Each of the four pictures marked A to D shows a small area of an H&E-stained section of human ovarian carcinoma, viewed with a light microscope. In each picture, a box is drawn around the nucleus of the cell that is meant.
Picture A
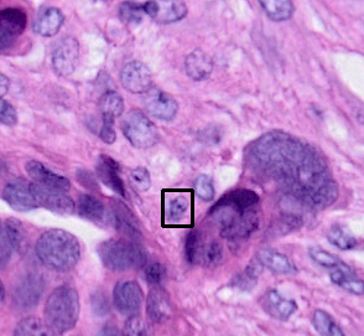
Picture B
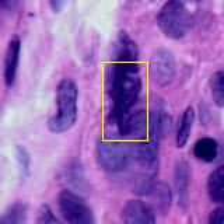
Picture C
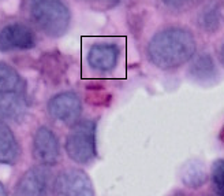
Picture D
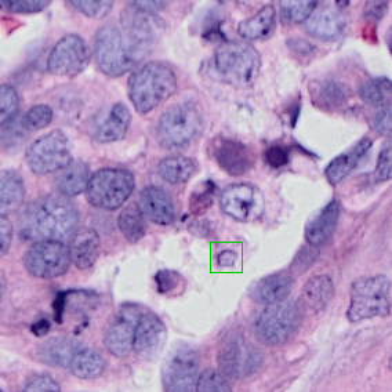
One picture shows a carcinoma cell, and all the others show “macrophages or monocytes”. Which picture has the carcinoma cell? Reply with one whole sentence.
Picture B shows the carcinoma cell.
